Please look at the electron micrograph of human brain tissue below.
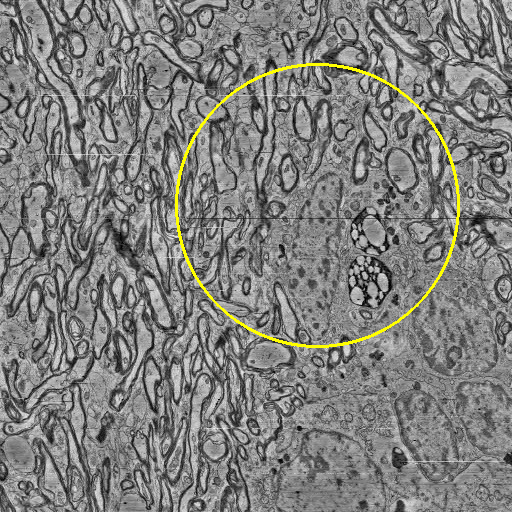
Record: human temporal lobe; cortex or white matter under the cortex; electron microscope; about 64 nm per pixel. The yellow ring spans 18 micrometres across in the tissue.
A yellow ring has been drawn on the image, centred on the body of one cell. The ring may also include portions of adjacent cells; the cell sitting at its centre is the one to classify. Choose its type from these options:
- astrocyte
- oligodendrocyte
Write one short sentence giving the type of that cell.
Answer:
The cell in the middle of the ring is an astrocyte.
